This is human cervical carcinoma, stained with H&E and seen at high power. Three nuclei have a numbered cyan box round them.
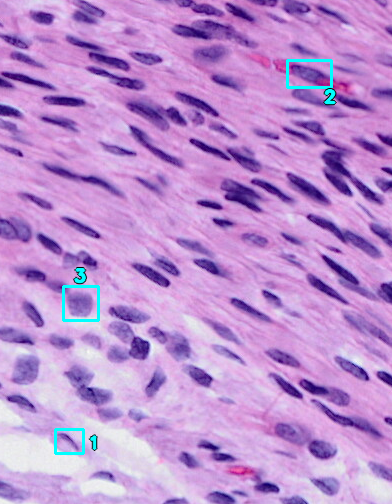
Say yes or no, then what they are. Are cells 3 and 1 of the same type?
Yes, and to be precise, cells 3 and 1 are both fibroblasts.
